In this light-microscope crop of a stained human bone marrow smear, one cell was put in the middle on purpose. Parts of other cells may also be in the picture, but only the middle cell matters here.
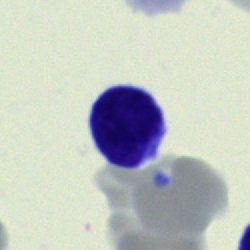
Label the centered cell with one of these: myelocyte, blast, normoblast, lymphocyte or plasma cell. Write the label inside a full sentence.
Positioned in the middle of the crop is a lymphocyte.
